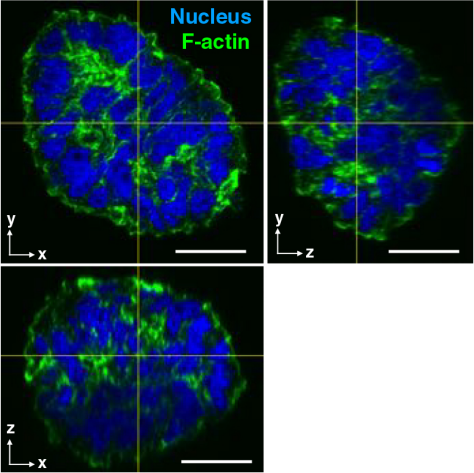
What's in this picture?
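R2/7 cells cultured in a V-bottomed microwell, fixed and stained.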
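A round spheroid of tightly packed cells is shown in three orthogonal optical sections. Green filaments form a bright rim along the outer surface of the spheroid and also trace a network between neighbouring cells, outlining cell borders inside the mass. The side views show that the rounded shape extends through the depth of the mass rather than being a flat sheet.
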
